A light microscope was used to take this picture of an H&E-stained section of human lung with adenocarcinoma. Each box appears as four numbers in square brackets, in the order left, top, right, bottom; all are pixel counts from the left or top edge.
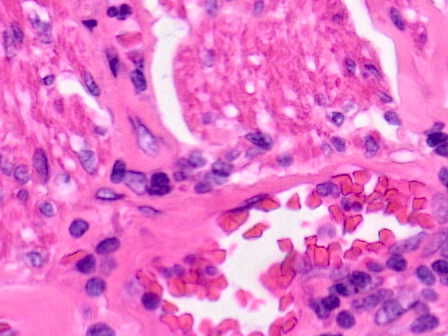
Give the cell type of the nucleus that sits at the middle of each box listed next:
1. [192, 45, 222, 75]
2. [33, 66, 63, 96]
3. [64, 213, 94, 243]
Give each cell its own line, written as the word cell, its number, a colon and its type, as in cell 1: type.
cell 1: smooth muscle cell or pericyte
cell 2: smooth muscle cell or pericyte
cell 3: mast cell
